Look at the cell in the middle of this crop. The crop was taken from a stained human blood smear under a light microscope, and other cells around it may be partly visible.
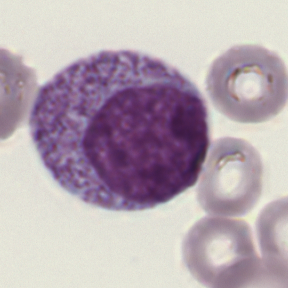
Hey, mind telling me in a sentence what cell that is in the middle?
The middle position in this crop is taken by a myelocyte.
